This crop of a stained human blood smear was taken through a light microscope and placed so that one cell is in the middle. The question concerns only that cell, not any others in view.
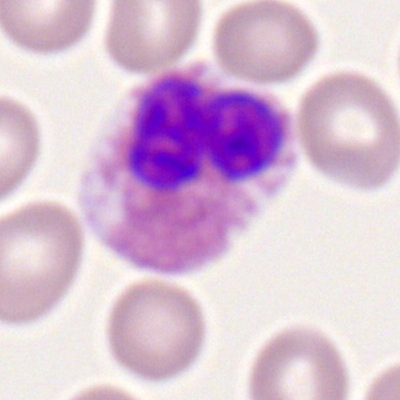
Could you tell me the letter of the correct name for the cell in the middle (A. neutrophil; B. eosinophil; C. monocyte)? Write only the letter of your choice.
B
